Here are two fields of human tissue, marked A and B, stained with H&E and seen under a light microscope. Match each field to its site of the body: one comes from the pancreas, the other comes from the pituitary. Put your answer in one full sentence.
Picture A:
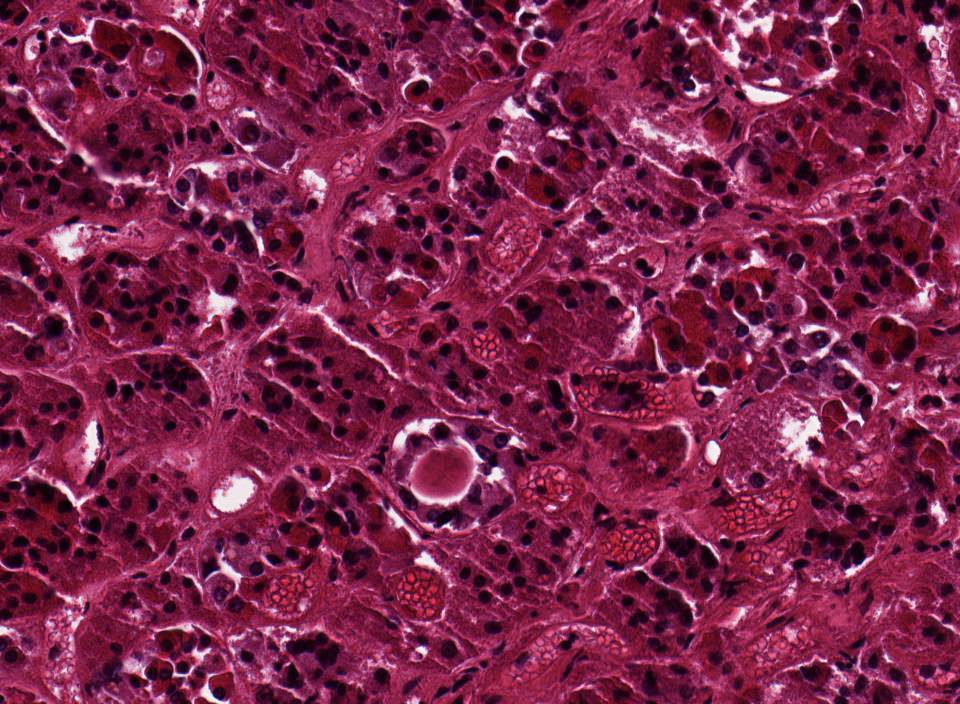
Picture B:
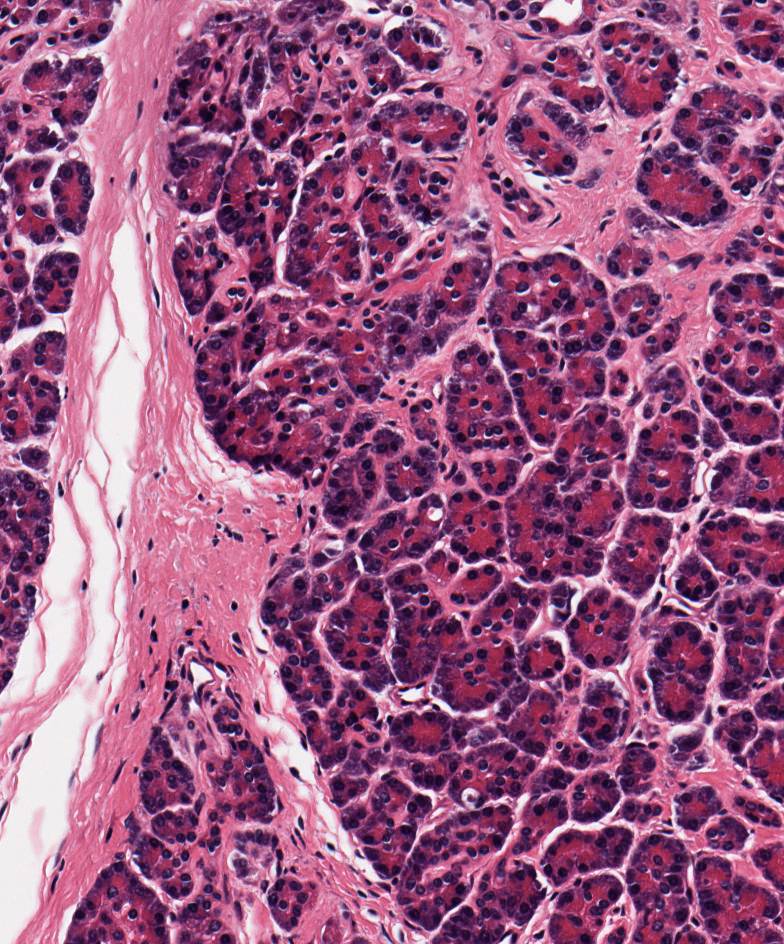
Picture B comes from the pancreas, while picture A comes from the pituitary.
